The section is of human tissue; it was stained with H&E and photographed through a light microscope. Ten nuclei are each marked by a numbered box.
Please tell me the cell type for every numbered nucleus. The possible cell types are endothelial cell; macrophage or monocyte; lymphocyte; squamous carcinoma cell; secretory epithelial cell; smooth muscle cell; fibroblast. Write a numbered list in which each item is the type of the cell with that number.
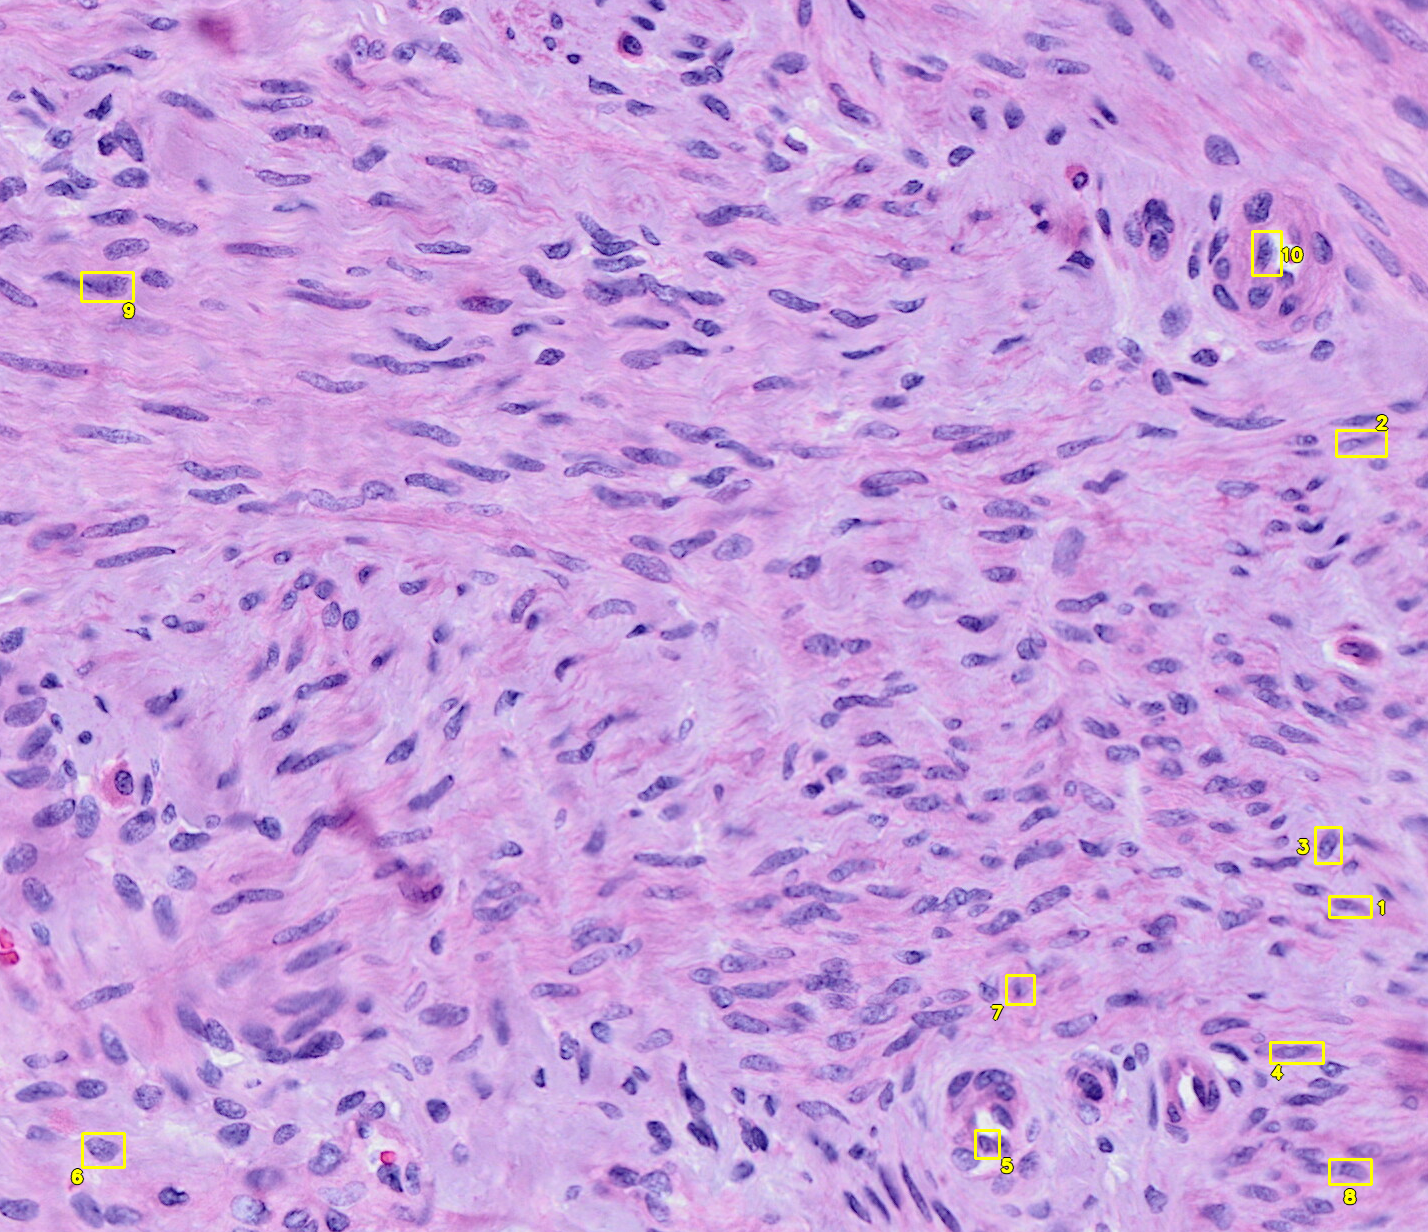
1. smooth muscle cell
2. smooth muscle cell
3. smooth muscle cell
4. smooth muscle cell
5. endothelial cell
6. fibroblast
7. smooth muscle cell
8. smooth muscle cell
9. fibroblast
10. endothelial cell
